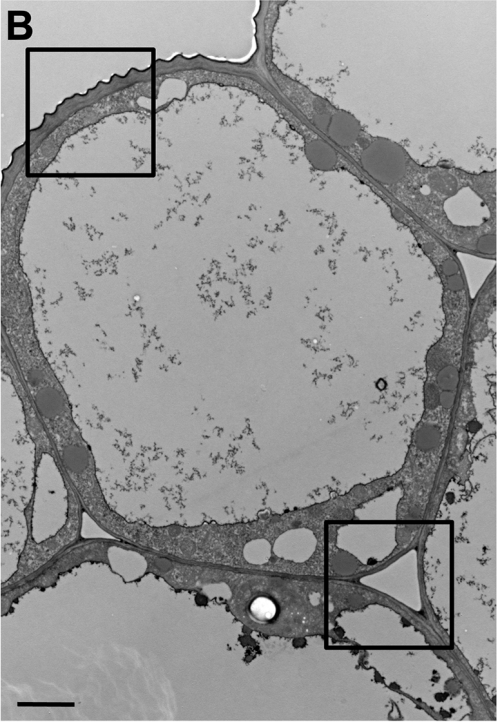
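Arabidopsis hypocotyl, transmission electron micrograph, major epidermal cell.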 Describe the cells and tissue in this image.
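The cell is dominated by a large central vacuole holding scattered flocculent material, with a thin peripheral layer of cytoplasm containing rounded grey bodies and small pale vesicles. Neighbouring cells are separated by thinner walls, and a triangular intercellular space lies at a wall junction at lower right.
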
